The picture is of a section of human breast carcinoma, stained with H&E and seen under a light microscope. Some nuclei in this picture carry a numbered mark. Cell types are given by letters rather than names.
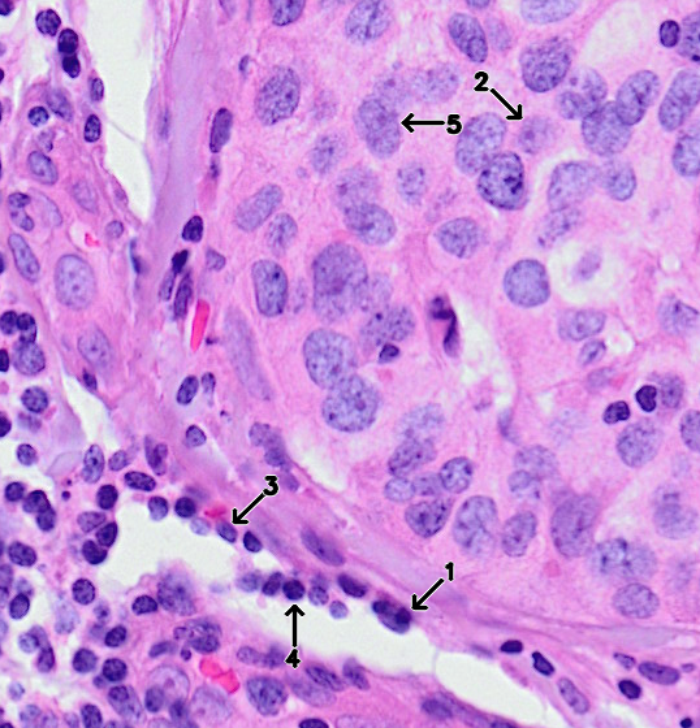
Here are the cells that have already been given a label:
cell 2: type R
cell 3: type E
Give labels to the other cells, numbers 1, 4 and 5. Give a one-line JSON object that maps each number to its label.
{"1": "type E", "4": "type E", "5": "type R"}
